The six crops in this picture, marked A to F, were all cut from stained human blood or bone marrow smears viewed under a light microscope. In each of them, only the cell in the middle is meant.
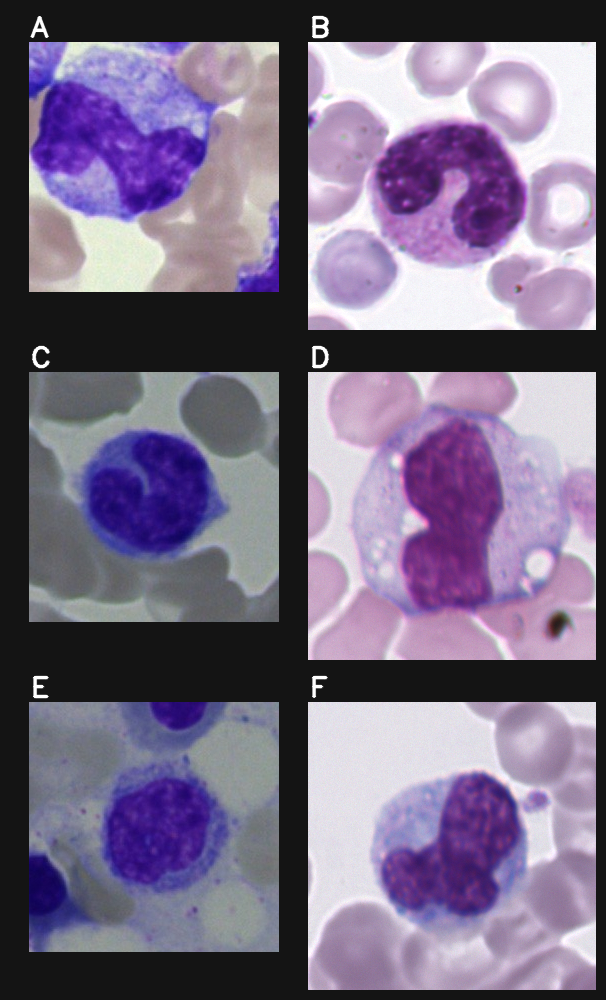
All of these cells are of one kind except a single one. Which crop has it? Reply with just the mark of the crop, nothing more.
B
